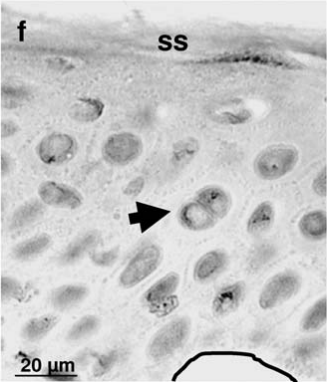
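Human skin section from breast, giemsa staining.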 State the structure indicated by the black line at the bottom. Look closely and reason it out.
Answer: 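Basement membrane. A curved line runs along the lower edge of the cell layers. Nucleated cells lie above the line.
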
